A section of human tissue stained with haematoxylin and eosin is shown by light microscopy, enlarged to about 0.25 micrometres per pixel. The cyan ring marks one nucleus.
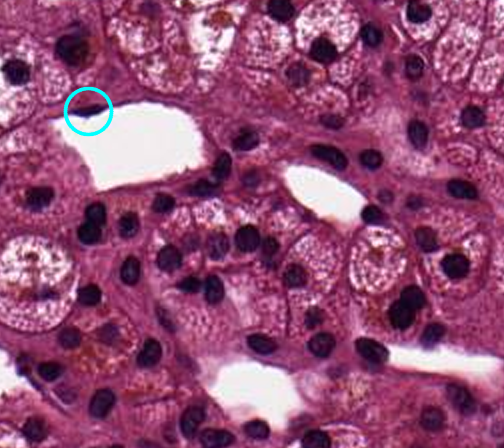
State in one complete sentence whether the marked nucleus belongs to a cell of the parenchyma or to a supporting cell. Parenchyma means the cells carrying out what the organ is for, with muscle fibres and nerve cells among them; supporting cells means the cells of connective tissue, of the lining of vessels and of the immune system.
Held by a supporting cell is the marked nucleus in this section.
